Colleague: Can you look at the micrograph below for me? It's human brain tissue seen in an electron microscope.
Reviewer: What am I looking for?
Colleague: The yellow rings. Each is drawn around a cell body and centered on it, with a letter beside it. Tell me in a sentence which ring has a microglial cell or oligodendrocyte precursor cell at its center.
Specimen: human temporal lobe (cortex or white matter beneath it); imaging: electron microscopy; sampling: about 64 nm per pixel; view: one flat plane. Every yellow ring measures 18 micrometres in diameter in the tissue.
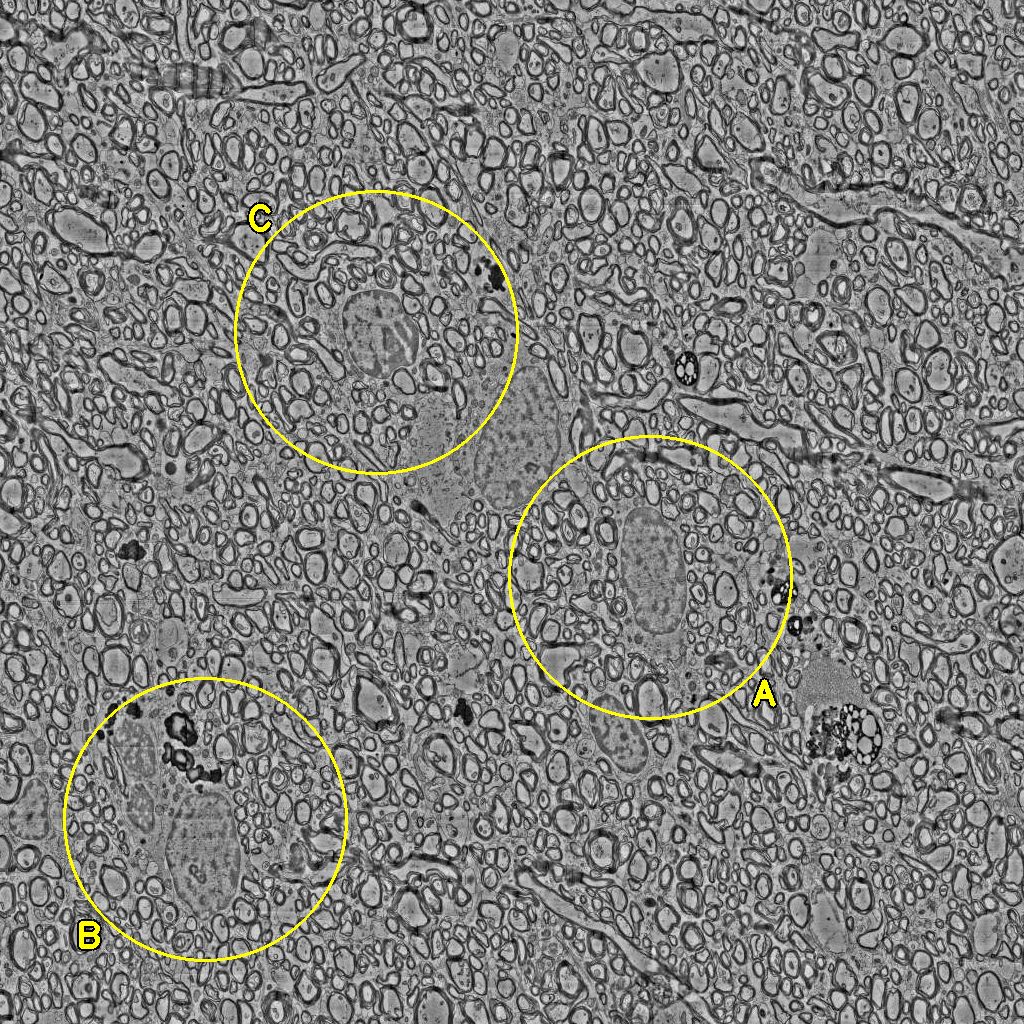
It's the cell in ring C.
